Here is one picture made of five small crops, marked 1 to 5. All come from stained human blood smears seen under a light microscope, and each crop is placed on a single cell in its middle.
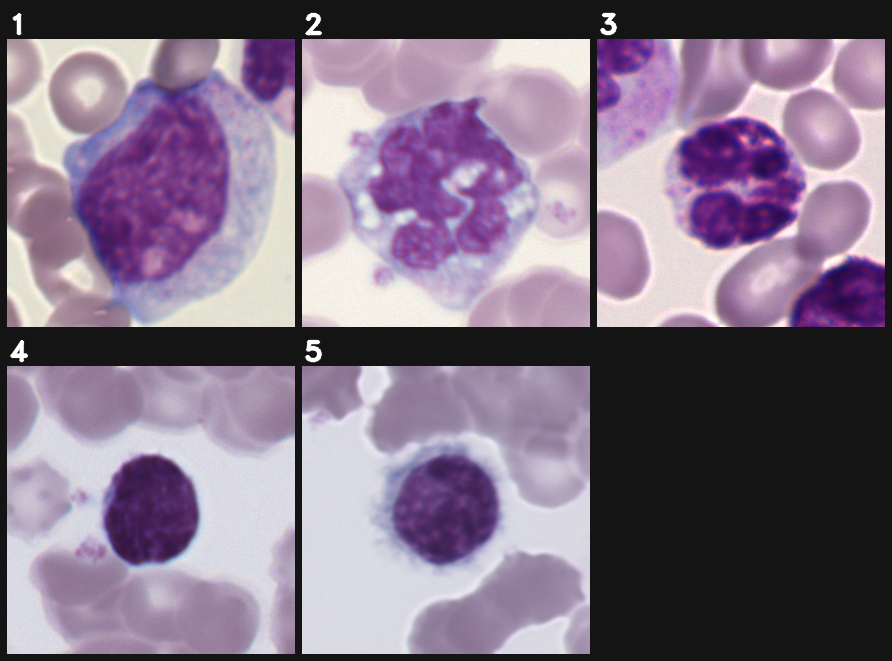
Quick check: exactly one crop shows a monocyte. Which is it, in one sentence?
The cell at the center of crop 2 is the one that is a monocyte.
